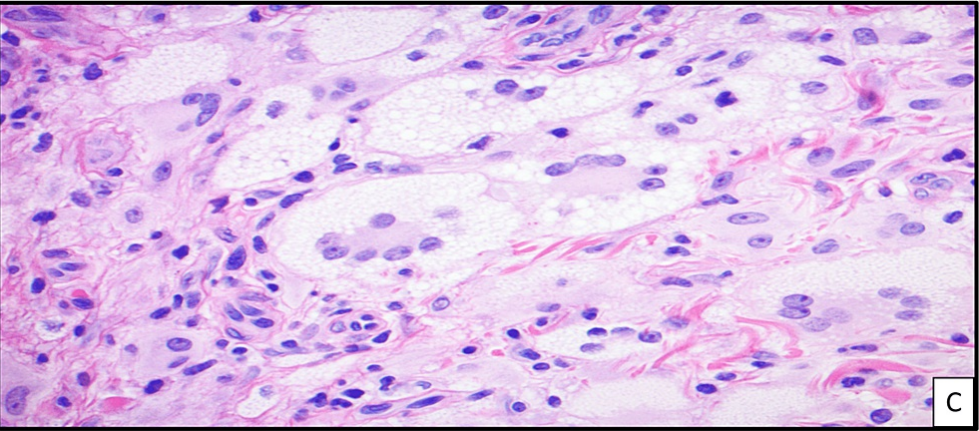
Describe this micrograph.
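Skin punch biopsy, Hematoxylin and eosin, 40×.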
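At high power the dermis is filled with large foamy cells whose pale cytoplasm is packed with small clear vacuoles; several of them are multinucleated, with groups of oval nuclei clustered together. Between these big cells lie smaller cells with dark, elongated or round nuclei and thin wisps of pink collagen.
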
